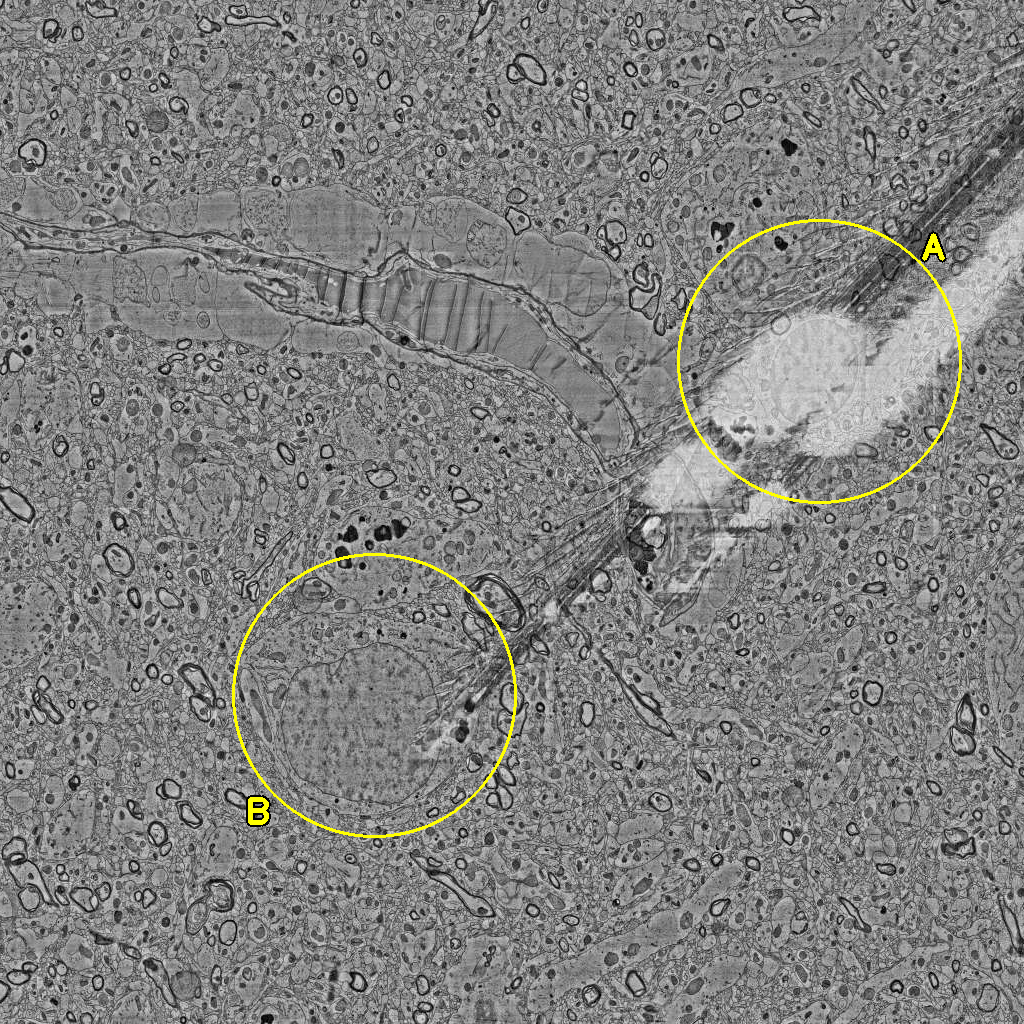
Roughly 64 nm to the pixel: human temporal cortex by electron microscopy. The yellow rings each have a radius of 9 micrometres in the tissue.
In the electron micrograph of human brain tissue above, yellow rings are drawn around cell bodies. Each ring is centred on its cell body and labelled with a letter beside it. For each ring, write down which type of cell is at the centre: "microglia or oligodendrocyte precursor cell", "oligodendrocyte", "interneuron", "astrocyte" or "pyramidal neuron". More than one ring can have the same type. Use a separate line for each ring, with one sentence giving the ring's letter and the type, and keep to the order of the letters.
At the centre of ring A there is an oligodendrocyte.
At the centre of ring B there is a pyramidal neuron.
